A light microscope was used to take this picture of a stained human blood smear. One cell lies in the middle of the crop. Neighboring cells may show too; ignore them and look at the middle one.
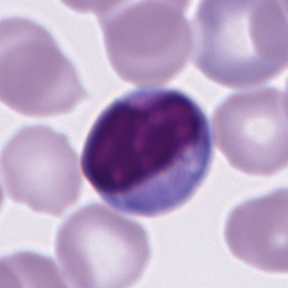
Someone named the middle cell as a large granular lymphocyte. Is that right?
no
